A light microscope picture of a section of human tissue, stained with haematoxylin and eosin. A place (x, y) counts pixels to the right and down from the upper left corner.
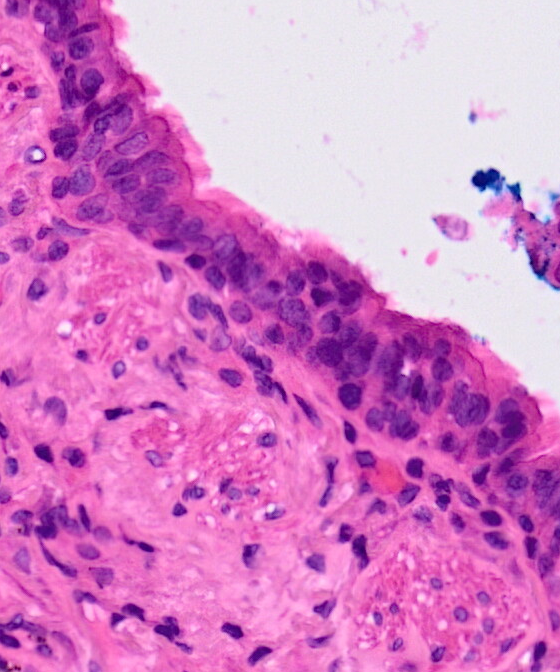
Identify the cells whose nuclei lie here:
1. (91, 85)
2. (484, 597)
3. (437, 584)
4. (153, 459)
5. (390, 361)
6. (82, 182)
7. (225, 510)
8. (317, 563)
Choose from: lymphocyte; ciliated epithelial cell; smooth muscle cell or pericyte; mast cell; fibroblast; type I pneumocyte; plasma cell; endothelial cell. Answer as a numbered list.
1. ciliated epithelial cell
2. smooth muscle cell or pericyte
3. smooth muscle cell or pericyte
4. smooth muscle cell or pericyte
5. ciliated epithelial cell
6. ciliated epithelial cell
7. smooth muscle cell or pericyte
8. lymphocyte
